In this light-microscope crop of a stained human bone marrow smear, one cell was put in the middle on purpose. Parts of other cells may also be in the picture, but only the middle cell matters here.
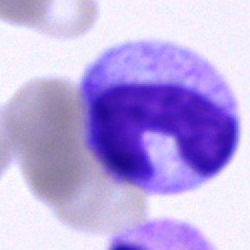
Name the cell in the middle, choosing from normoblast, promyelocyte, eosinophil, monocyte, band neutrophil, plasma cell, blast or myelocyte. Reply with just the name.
band neutrophil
